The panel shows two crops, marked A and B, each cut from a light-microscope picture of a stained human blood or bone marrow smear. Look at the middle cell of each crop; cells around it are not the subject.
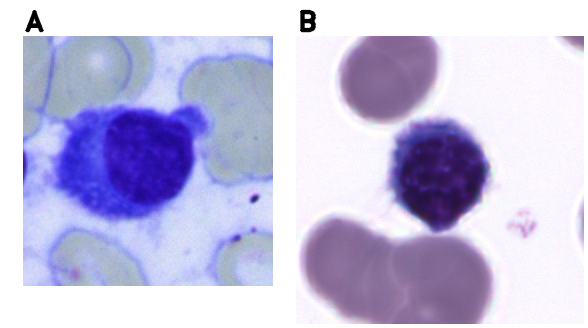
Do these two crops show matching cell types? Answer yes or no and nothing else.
yes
